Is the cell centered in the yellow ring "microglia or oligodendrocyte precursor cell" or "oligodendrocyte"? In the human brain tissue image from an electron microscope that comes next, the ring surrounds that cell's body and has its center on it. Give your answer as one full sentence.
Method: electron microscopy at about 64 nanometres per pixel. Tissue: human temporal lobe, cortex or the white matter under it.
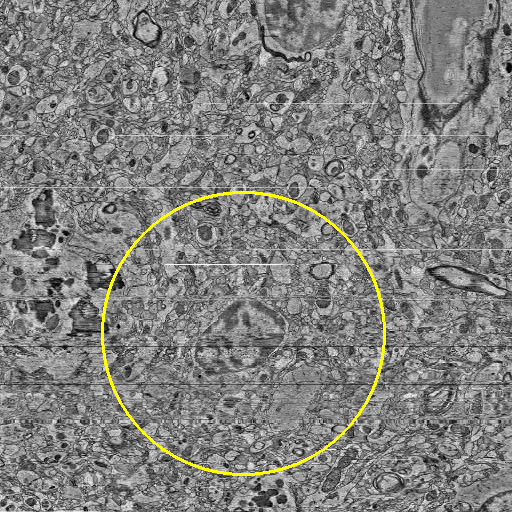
The cell at the center of the yellow ring is a microglial cell or oligodendrocyte precursor cell in the micrograph.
